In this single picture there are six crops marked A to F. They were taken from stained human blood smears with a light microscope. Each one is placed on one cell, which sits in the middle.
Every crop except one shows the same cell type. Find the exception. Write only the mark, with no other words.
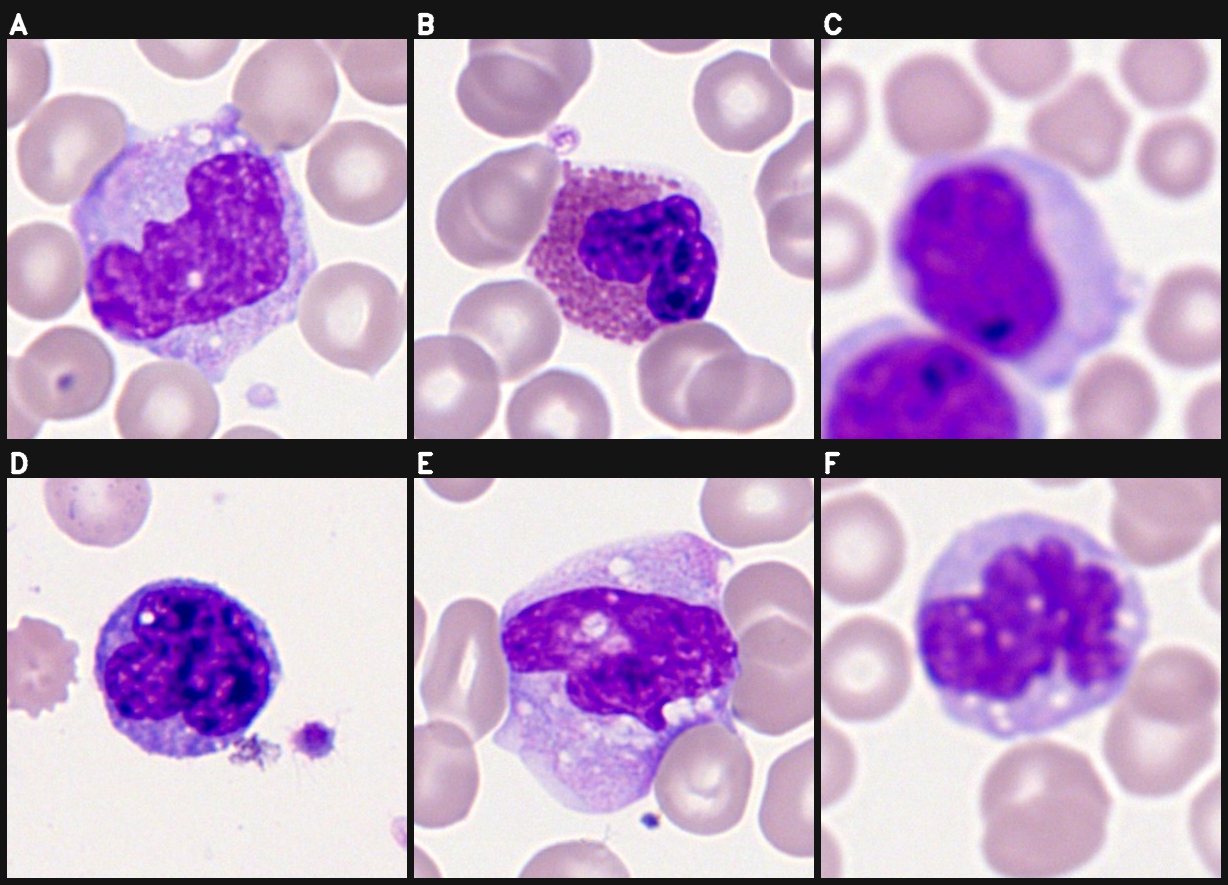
B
